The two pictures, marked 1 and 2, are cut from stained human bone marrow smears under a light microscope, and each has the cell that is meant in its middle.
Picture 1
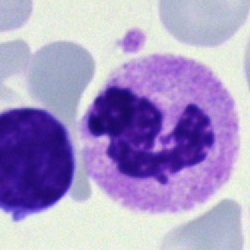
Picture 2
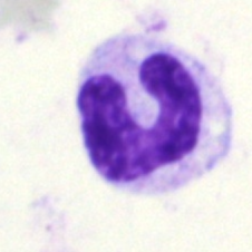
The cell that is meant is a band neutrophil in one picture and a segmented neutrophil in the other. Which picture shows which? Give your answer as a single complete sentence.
Picture 2 shows a band neutrophil, while picture 1 shows a segmented neutrophil.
